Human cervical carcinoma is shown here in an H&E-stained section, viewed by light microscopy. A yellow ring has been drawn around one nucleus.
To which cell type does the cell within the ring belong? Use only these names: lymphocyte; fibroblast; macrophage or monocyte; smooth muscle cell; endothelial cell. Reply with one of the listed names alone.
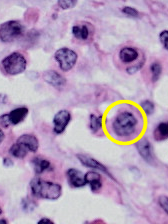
macrophage or monocyte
